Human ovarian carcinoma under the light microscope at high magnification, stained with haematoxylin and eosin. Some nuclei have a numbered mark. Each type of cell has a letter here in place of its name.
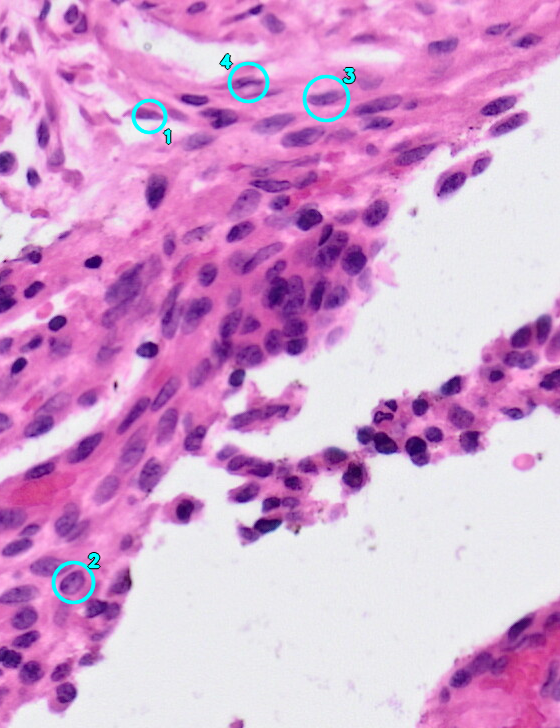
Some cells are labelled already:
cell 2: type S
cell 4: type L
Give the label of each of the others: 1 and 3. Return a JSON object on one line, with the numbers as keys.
{"1": "type L", "3": "type L"}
